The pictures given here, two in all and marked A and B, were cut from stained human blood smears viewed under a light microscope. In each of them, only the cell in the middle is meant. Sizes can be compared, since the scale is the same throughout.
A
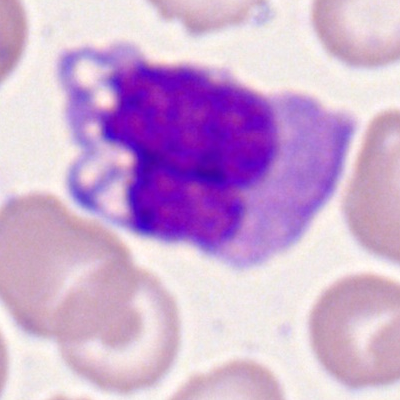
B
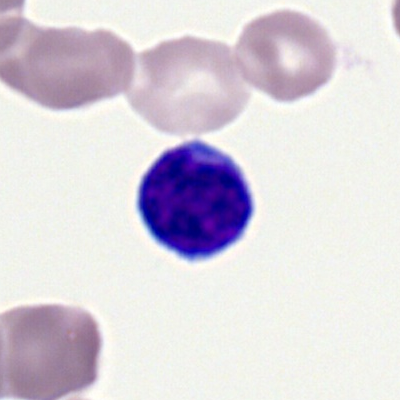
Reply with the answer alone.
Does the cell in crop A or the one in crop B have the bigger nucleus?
A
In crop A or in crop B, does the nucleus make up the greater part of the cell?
B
